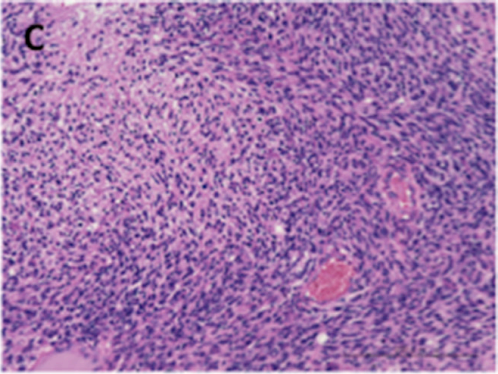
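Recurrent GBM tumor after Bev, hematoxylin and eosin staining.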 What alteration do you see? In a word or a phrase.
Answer: High cellularity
